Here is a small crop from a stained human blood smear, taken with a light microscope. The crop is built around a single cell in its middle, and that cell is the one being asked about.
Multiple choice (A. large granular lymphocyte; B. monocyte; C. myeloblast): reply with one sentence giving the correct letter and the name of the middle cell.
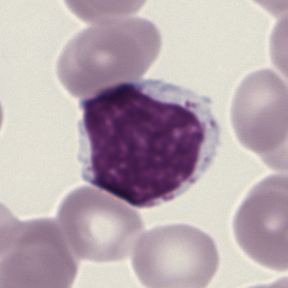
Occupying the middle of the crop is a large granular lymphocyte, hence option A is correct.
